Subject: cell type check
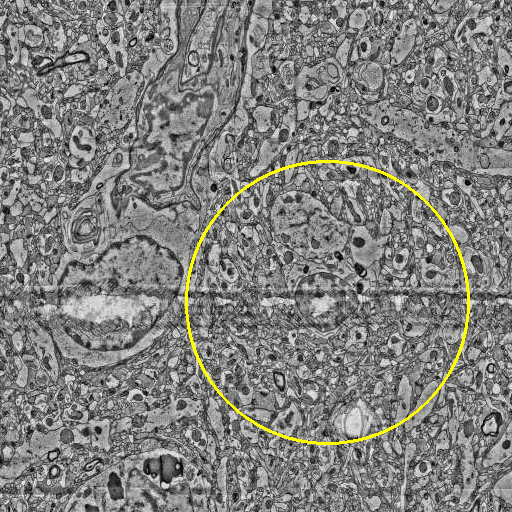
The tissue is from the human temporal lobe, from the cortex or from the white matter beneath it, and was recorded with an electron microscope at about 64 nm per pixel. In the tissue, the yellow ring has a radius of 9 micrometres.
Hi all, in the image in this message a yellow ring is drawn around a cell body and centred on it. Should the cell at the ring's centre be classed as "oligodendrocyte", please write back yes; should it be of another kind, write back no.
no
